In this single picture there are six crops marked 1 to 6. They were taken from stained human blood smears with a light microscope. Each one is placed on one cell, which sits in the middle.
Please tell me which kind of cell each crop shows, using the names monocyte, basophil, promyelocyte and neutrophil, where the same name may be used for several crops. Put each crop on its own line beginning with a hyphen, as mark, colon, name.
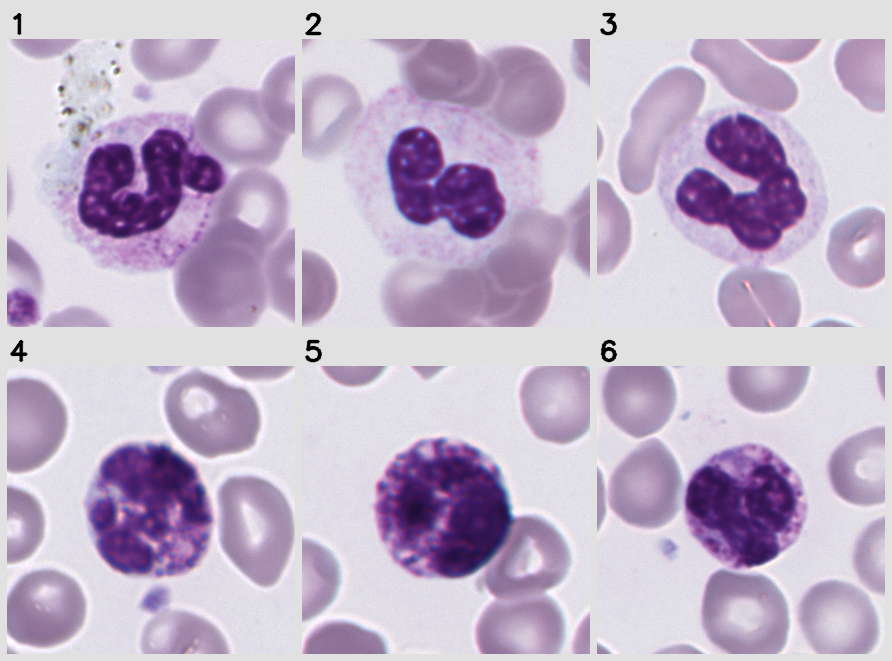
- 1: neutrophil
- 2: neutrophil
- 3: neutrophil
- 4: basophil
- 5: basophil
- 6: basophil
